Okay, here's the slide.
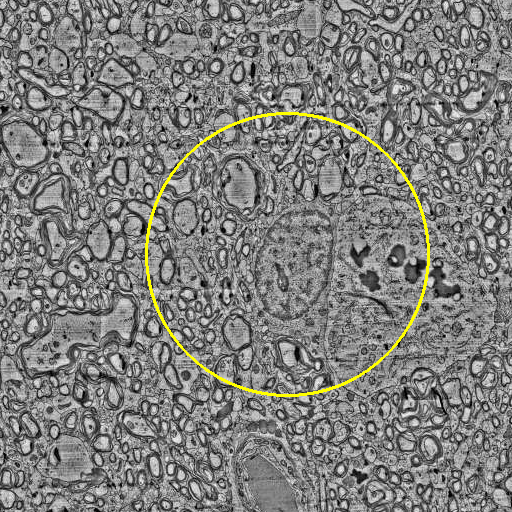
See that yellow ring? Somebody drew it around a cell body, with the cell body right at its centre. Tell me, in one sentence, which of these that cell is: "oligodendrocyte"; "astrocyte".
The cell in the middle of the ring is an oligodendrocyte.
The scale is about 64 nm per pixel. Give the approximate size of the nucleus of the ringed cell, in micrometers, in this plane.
Approximately 7 micrometres long and 5 micrometres wide, so clearly longer than it is wide in this plane.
